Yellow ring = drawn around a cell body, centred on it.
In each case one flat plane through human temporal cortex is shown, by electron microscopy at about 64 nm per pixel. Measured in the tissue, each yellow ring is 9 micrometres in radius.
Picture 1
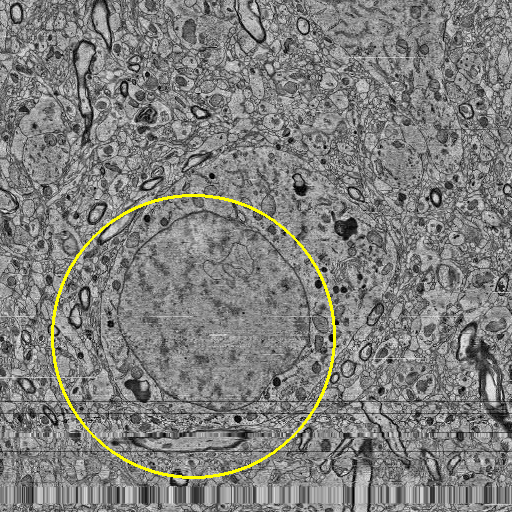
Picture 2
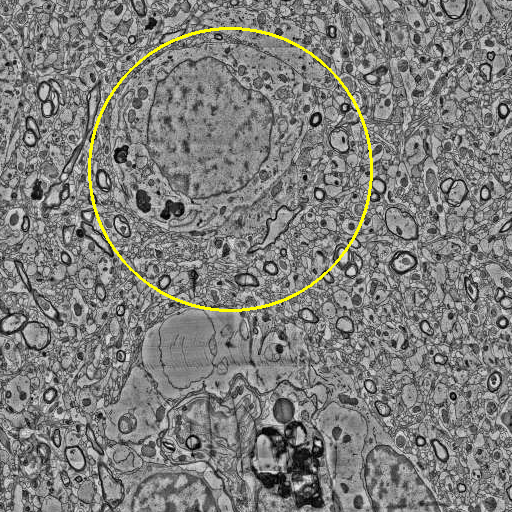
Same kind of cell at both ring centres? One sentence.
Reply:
No, they are two kinds of cell.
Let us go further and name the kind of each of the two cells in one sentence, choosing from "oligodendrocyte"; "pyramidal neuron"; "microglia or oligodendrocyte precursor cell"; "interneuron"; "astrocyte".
The ring of the first picture is on a pyramidal neuron, the ring of the second on an oligodendrocyte.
